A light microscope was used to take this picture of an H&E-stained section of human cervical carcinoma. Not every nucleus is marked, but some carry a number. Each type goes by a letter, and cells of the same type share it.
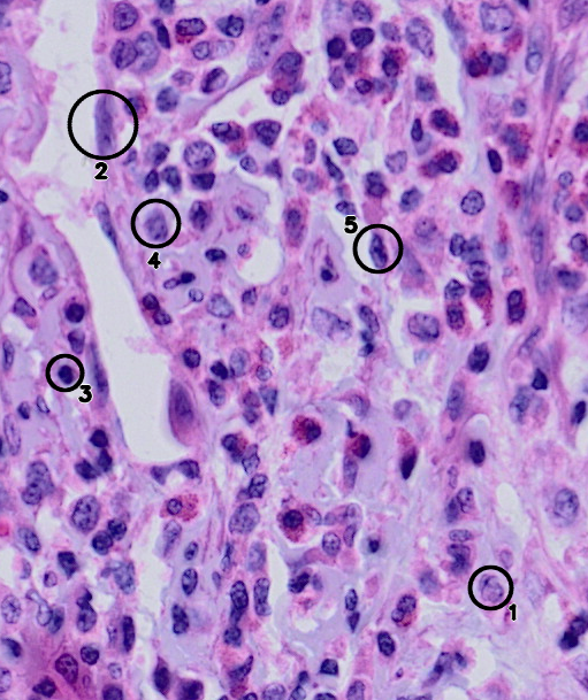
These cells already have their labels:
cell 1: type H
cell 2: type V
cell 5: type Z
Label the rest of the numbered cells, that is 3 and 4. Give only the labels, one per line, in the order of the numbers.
type Z
type H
